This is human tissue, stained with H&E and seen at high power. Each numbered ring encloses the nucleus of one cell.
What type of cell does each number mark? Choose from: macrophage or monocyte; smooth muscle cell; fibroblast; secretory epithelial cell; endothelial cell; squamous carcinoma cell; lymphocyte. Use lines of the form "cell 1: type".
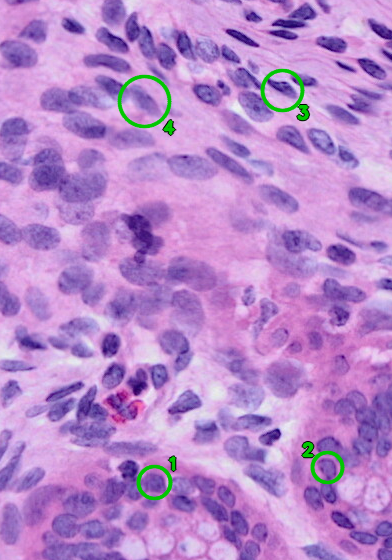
cell 1: secretory epithelial cell
cell 2: secretory epithelial cell
cell 3: fibroblast
cell 4: fibroblast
